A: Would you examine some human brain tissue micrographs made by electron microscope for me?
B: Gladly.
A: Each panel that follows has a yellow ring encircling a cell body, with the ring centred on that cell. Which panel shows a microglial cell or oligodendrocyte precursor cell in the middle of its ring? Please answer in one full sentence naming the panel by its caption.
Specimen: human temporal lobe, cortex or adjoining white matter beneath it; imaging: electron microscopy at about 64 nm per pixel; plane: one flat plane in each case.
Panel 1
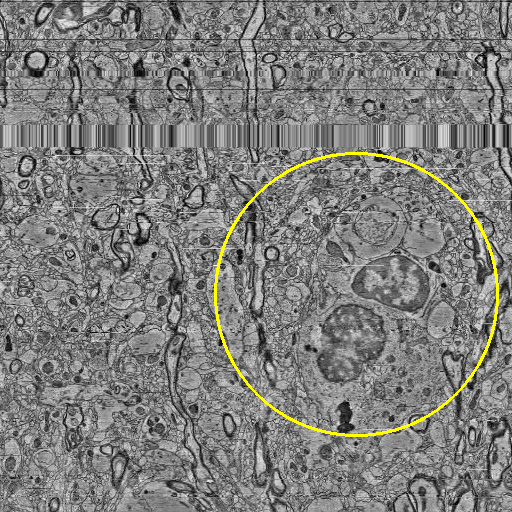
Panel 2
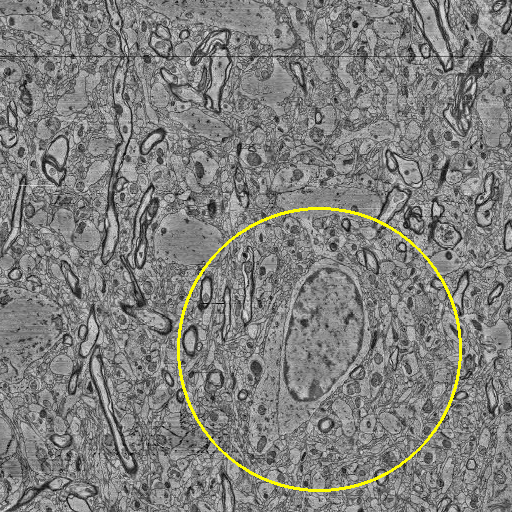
Panel 2 is where the ring sits centred on the requested cell.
